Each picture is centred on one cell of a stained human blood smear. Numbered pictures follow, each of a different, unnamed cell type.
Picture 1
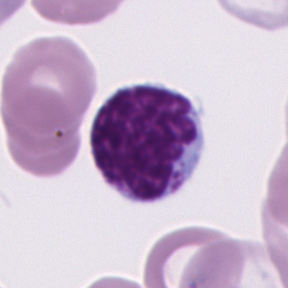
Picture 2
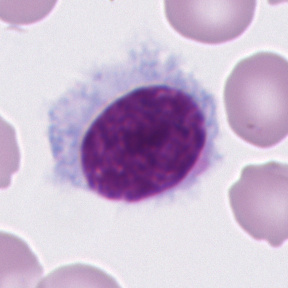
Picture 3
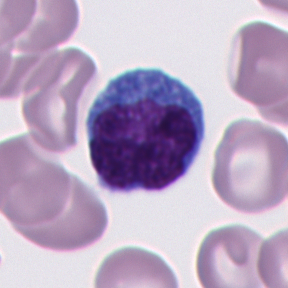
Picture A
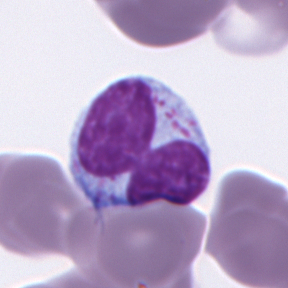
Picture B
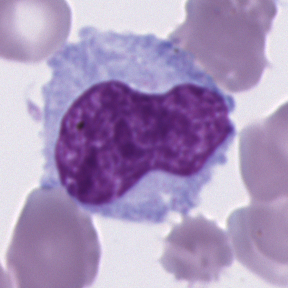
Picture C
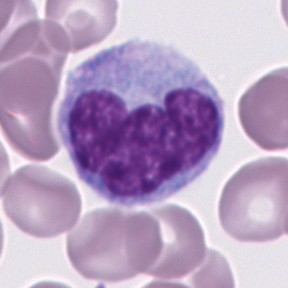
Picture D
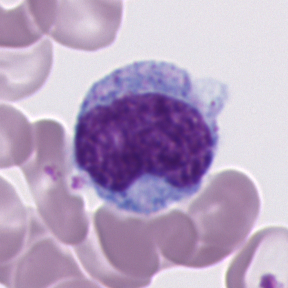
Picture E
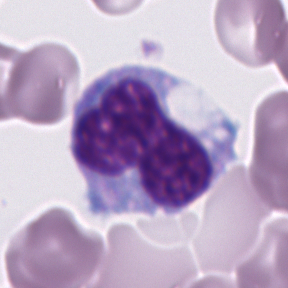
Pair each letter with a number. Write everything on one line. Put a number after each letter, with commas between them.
A 1, B 3, C 3, D 3, E 3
